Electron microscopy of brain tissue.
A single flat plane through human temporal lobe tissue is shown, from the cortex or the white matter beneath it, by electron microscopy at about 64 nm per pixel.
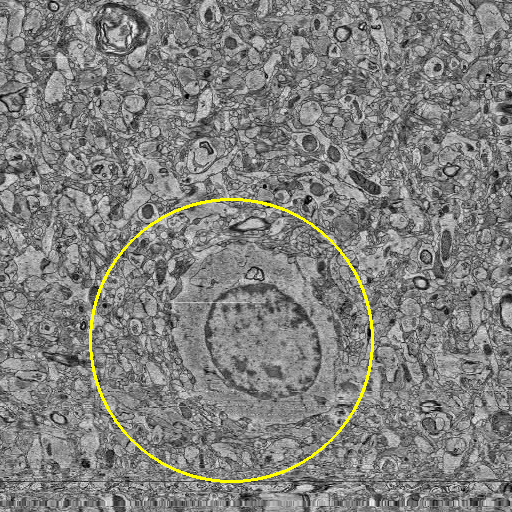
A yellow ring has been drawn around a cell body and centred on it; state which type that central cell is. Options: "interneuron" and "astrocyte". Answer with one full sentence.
The cell at the middle of the yellow ring is an astrocyte in this picture.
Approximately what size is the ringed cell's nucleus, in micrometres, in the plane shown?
Roughly 8 micrometres by 7 micrometres, in this plane.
